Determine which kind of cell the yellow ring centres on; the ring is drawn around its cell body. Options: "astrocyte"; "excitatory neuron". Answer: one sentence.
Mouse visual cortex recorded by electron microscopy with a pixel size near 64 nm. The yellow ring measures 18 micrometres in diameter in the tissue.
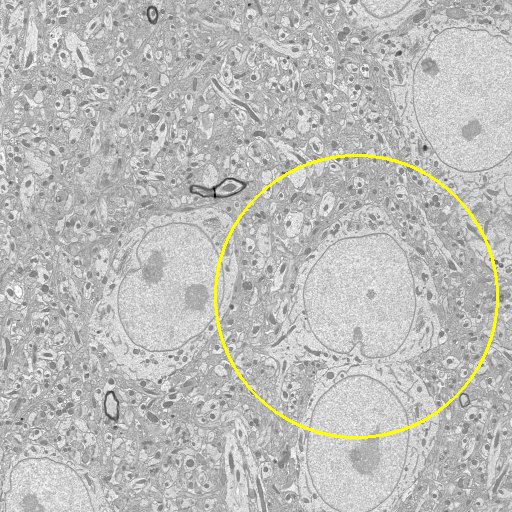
The ring centres on an excitatory neuron.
